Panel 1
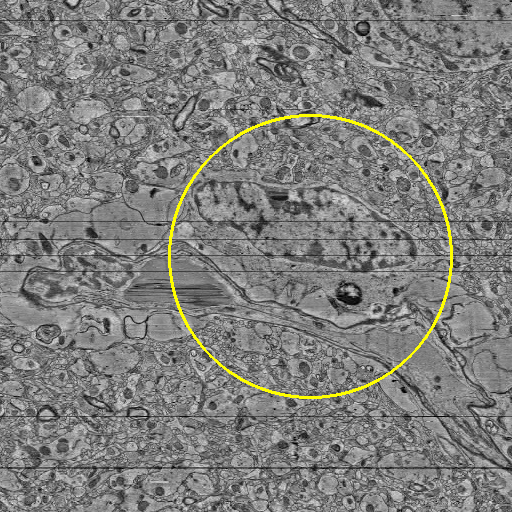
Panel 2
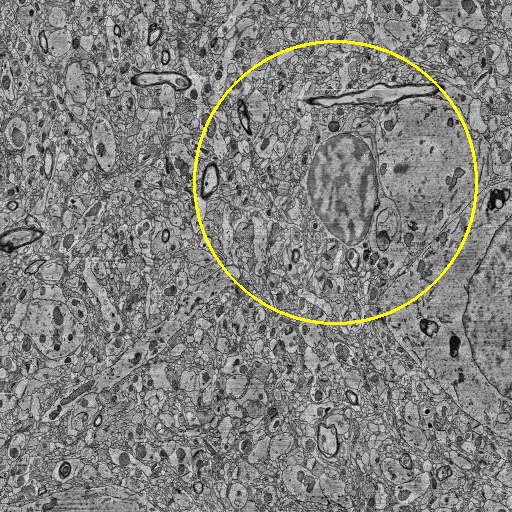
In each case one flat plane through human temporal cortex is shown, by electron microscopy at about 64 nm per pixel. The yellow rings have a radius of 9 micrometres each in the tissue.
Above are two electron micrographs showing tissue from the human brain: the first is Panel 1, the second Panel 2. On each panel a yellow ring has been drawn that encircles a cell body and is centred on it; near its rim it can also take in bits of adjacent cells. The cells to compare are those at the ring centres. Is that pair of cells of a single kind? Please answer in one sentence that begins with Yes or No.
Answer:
Yes, the ring-centred cells of Panel 1 and Panel 2 belong to one kind.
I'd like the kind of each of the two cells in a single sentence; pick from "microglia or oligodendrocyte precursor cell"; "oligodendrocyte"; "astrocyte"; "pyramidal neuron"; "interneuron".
The ring centre holds a microglial cell or oligodendrocyte precursor cell in each of the two pictures.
